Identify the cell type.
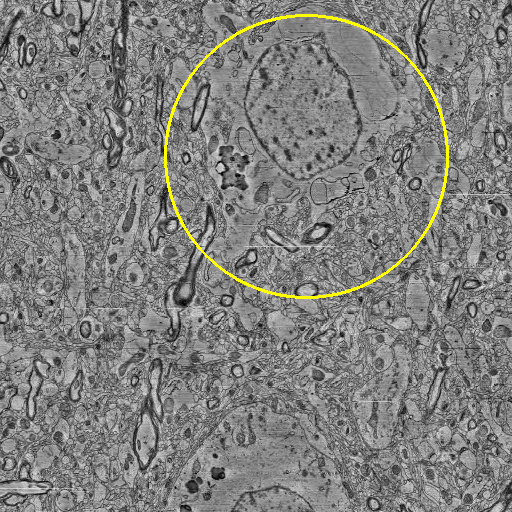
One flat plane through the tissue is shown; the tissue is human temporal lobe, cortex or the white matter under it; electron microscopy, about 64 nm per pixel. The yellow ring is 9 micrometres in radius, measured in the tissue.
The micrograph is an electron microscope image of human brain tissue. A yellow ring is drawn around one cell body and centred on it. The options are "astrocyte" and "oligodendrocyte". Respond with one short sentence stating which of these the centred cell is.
The cell body in the ring belongs to an astrocyte.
